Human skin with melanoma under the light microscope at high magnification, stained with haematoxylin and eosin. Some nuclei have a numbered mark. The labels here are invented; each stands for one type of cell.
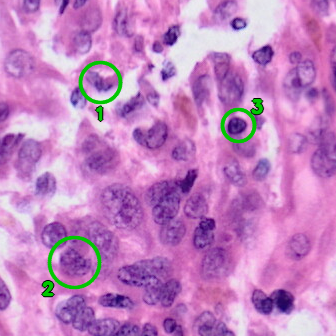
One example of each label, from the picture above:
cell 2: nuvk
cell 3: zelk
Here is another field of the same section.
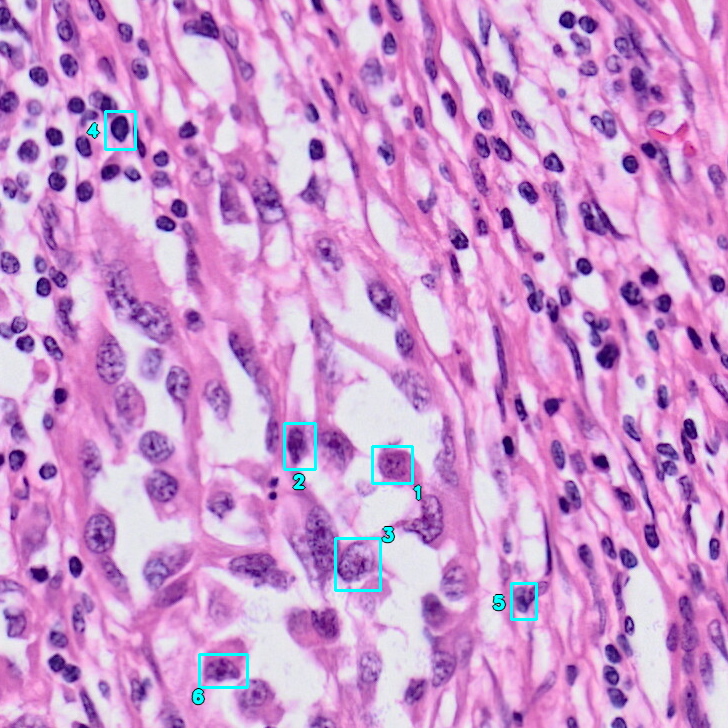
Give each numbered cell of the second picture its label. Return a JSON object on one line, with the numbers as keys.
{"1": "nuvk", "2": "nuvk", "3": "nuvk", "4": "zelk", "5": "zelk", "6": "nuvk"}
